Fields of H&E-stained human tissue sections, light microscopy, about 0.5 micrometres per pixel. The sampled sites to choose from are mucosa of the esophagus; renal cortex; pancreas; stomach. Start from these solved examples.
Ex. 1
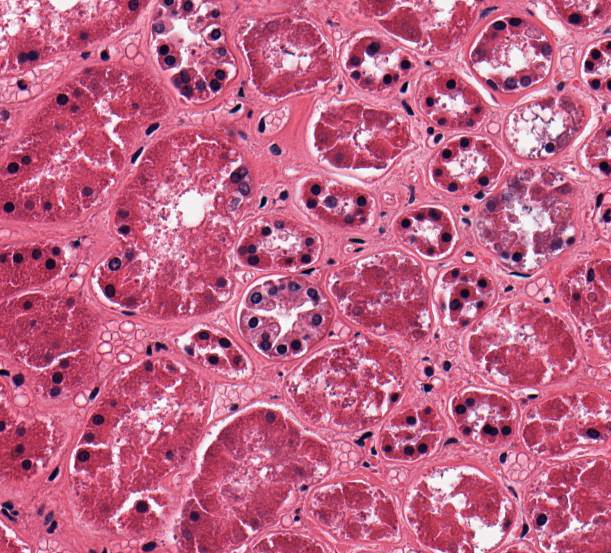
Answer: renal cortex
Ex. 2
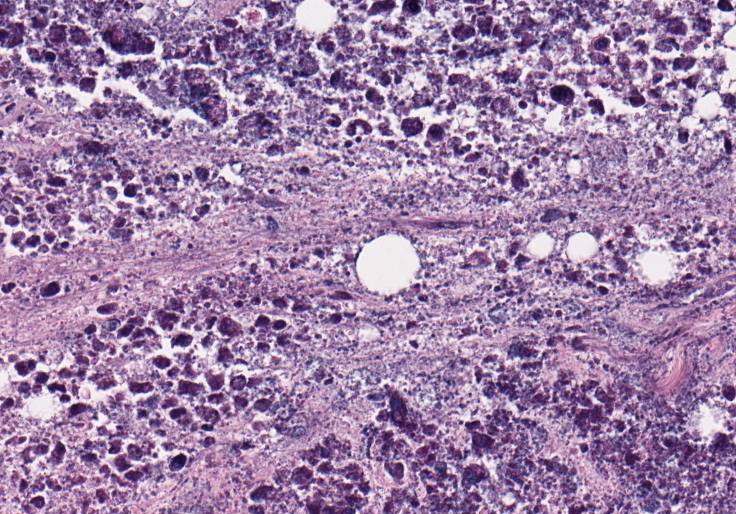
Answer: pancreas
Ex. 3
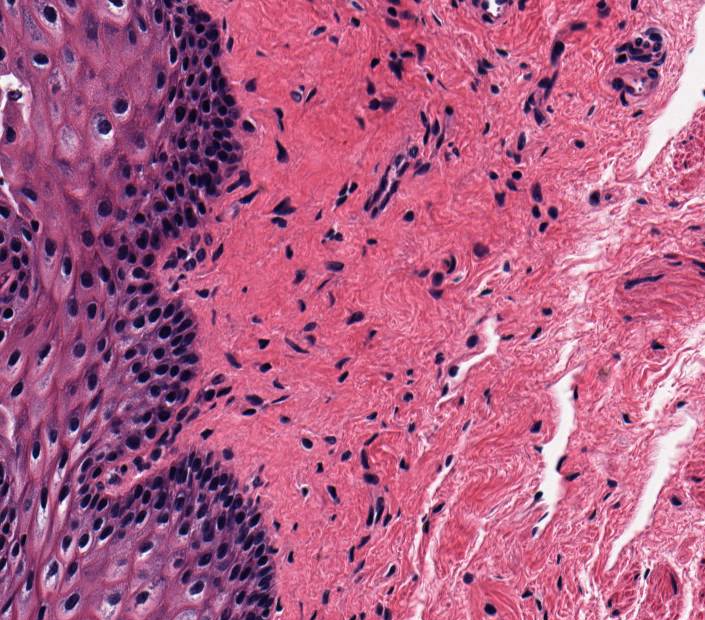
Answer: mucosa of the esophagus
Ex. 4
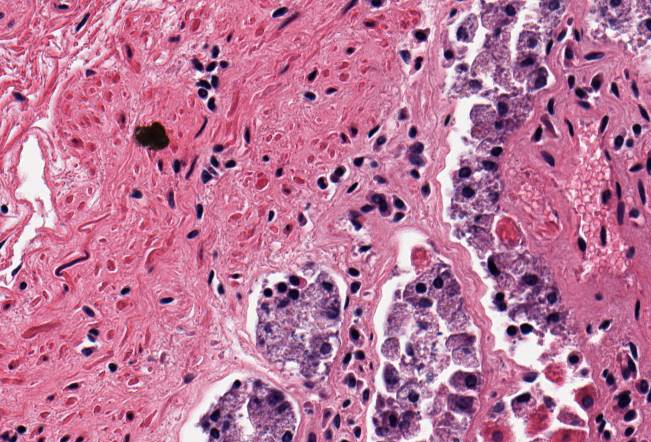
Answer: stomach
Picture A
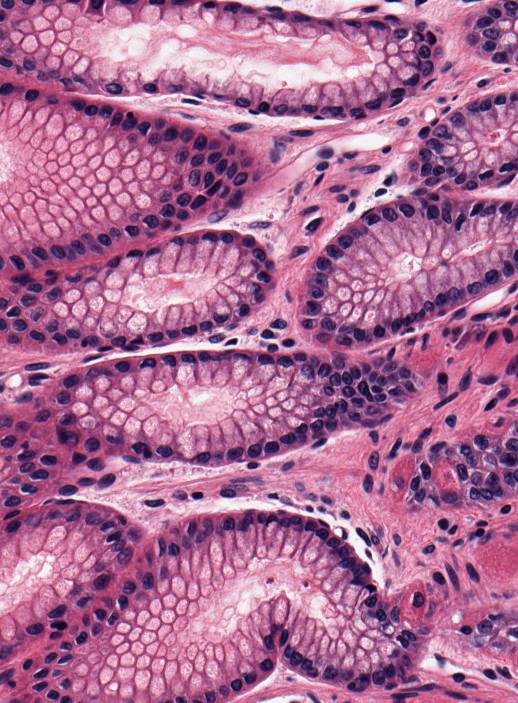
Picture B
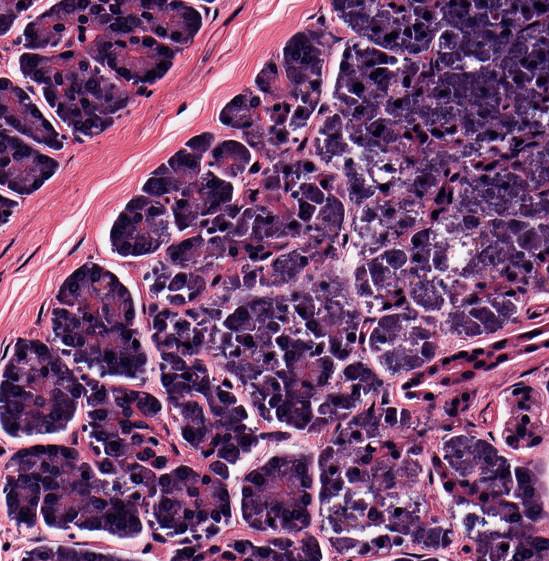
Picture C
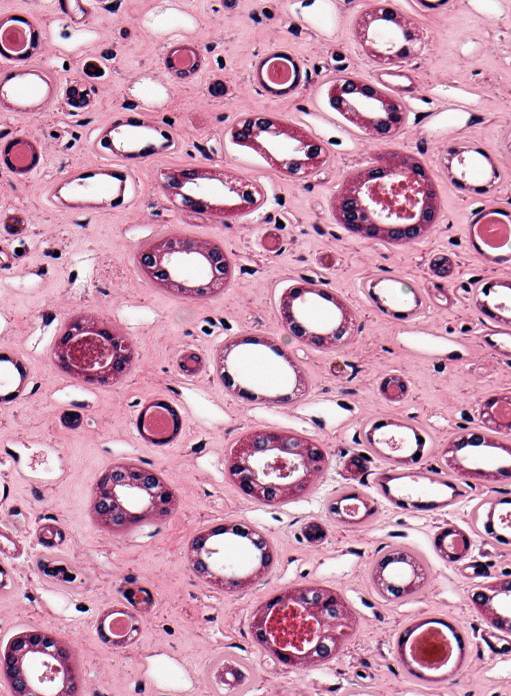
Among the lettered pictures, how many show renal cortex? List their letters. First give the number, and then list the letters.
1: C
